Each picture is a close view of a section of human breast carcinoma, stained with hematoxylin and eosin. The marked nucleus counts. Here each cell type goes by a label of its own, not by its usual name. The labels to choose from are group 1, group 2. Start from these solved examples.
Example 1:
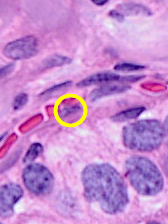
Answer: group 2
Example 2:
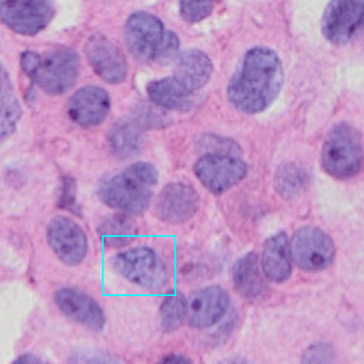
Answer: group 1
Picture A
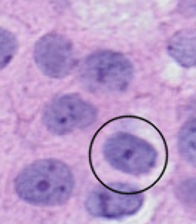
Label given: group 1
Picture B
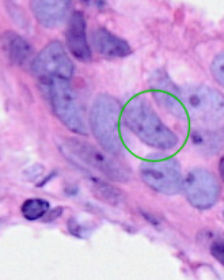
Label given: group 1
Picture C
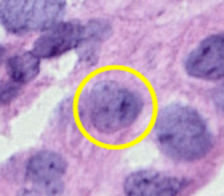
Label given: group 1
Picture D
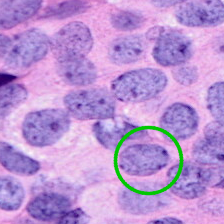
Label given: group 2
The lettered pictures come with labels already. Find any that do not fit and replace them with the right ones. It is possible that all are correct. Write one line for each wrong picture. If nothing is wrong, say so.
D: group 1, not group 2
